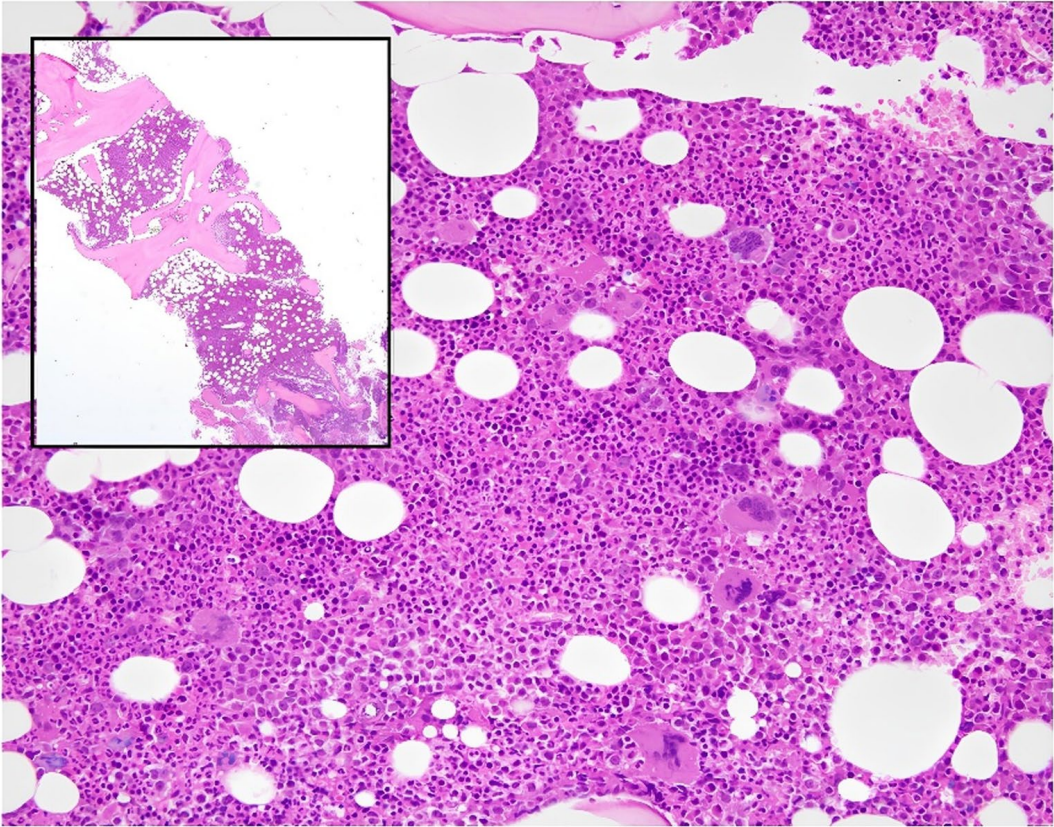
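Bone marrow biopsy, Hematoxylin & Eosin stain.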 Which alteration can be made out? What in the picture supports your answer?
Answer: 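Hematopoietic cells fill most of the marrow space between bony trabeculae in the low-power inset.
Conclusion: hypercellularity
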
